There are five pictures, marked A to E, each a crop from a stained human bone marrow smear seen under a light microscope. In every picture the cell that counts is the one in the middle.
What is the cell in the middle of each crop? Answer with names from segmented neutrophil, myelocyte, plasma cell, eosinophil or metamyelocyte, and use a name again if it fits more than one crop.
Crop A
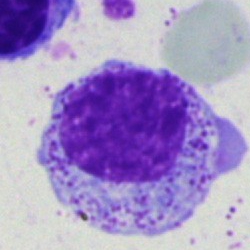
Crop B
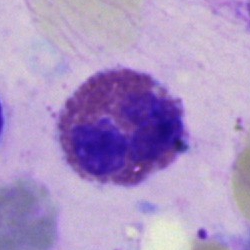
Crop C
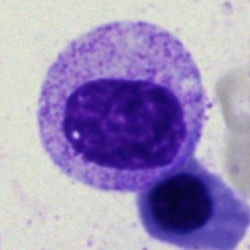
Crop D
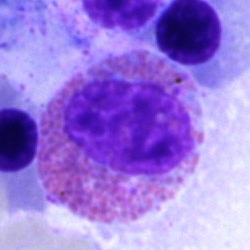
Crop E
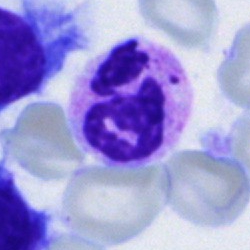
A: myelocyte
B: eosinophil
C: myelocyte
D: eosinophil
E: segmented neutrophil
